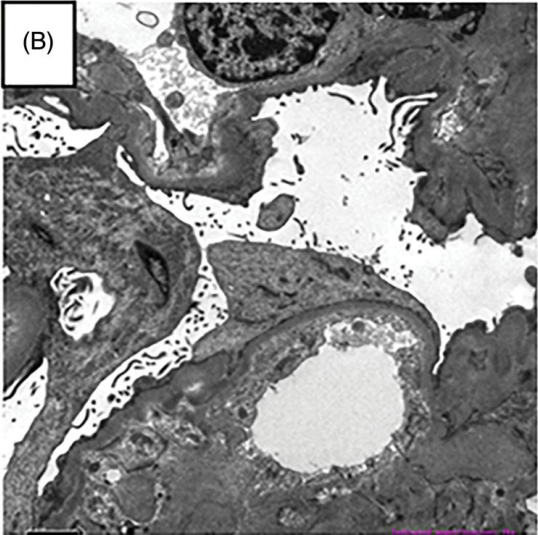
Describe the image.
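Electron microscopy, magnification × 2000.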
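Glomerular capillary loops are seen at low electron-microscope power, with overlying visceral epithelial cells (podocytes). A rounded capillary lumen lies below, surrounded by a wall on which the epithelial cytoplasm spreads as a broad, continuous sheet rather than as a row of small, evenly spaced feet. Above, a podocyte body with a dark, irregular nucleus faces the pale urinary space, into which slender fragments and microvillus-like projections extend. The dense grey cytoplasm of the covering cells hugs the basement membrane over long stretches. The picture fits diffuse effacement of podocyte foot processes.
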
